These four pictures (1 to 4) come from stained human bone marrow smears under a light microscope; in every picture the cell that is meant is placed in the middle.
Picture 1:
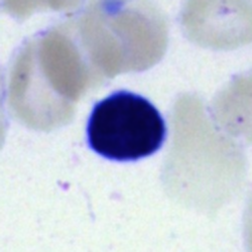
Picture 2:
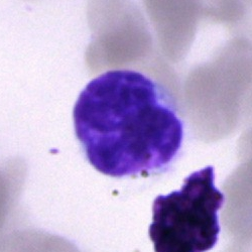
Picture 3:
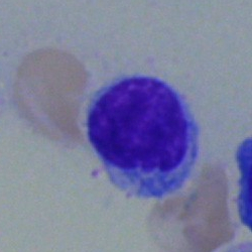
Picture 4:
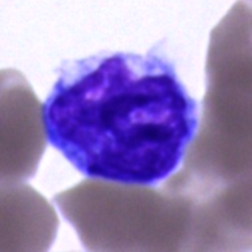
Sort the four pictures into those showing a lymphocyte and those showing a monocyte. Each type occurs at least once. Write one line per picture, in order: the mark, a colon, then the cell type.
1: lymphocyte
2: lymphocyte
3: lymphocyte
4: monocyte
